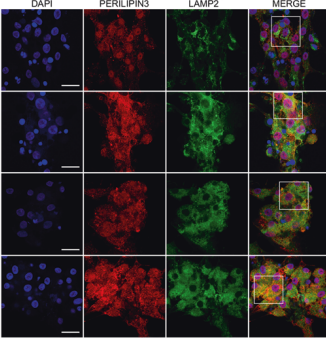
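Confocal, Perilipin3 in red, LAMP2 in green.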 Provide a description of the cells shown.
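The grid shows clusters of cultured cells, each with a round blue nucleus. Red granular labelling and green punctate labelling fill the cytoplasm around the nuclei, and in the merged images the two overlap as yellow-orange areas.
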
